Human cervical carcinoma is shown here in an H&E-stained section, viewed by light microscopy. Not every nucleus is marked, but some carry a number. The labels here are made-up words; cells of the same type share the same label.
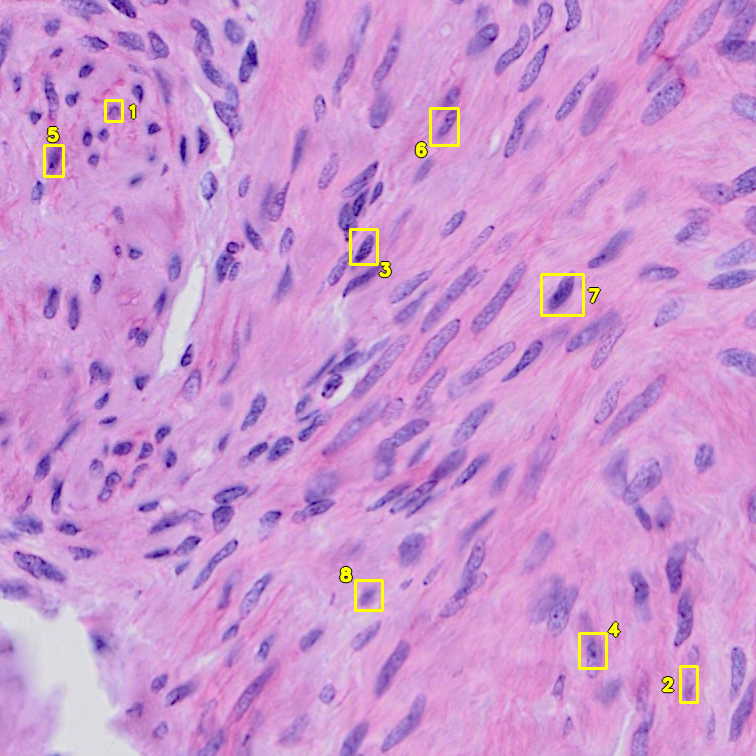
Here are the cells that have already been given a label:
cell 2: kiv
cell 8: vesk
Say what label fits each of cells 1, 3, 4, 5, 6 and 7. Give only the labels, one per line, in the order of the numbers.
kiv
vesk
kiv
kiv
kiv
vesk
